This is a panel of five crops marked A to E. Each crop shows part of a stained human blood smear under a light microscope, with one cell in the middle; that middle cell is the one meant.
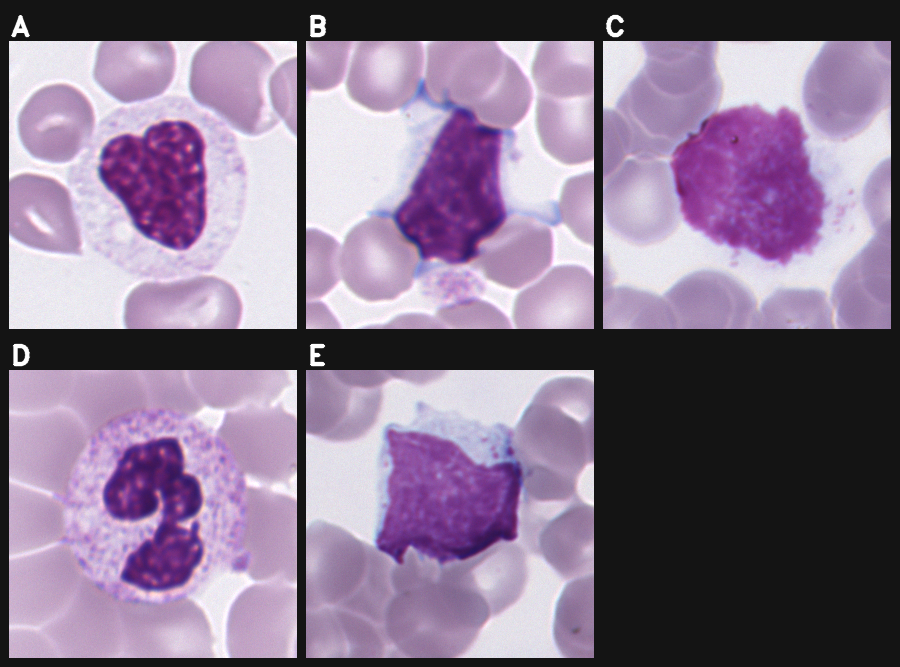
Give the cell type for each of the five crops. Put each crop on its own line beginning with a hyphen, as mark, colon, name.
- A: band neutrophil
- B: large granular lymphocyte
- C: smudge cell
- D: segmented neutrophil
- E: large granular lymphocyte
